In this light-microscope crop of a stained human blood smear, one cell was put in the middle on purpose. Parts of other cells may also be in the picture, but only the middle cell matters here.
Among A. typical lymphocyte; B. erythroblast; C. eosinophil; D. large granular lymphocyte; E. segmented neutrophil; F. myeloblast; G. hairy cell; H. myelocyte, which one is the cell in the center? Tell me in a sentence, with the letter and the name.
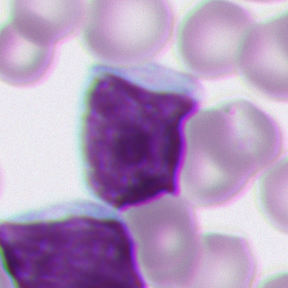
Since the middle cell is a typical lymphocyte, option A is the right one.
